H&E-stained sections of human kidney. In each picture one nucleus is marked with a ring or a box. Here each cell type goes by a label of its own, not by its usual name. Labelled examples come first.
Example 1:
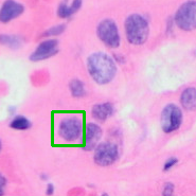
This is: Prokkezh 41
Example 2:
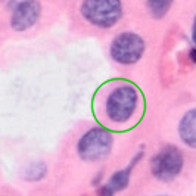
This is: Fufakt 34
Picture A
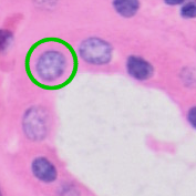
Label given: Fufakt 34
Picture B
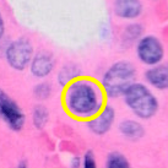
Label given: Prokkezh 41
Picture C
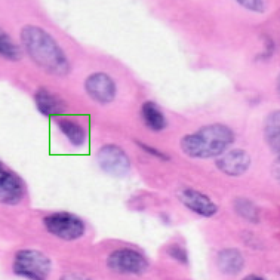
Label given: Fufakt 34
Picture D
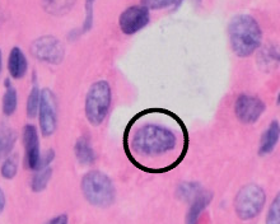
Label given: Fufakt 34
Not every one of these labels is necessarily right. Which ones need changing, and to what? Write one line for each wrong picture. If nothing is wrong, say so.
Nothing to fix; every label fits.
